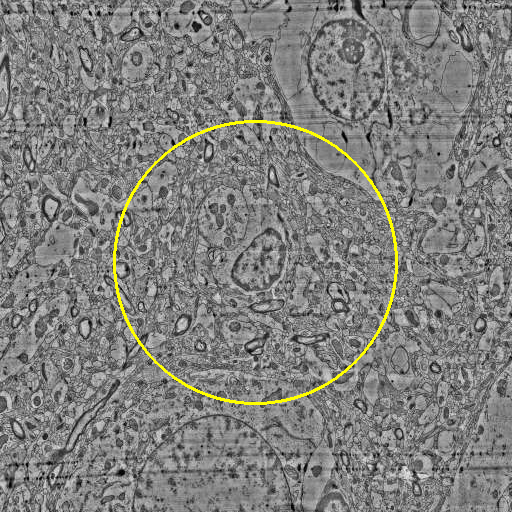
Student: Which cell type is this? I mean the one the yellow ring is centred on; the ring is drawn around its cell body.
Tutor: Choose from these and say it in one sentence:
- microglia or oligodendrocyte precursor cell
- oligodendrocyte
The cell the ring is centred on is a microglial cell or oligodendrocyte precursor cell.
